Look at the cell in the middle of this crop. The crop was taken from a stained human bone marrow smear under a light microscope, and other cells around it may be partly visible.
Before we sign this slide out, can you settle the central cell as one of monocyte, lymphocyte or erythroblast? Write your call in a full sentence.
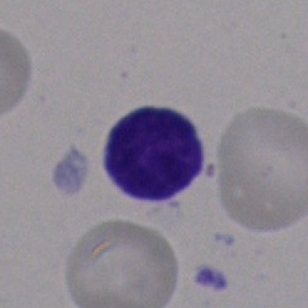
The cell at the middle of the frame should be recorded as a lymphocyte.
